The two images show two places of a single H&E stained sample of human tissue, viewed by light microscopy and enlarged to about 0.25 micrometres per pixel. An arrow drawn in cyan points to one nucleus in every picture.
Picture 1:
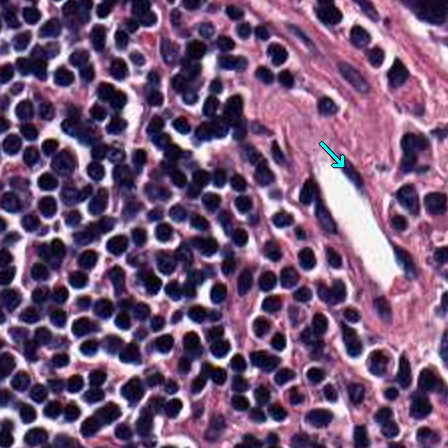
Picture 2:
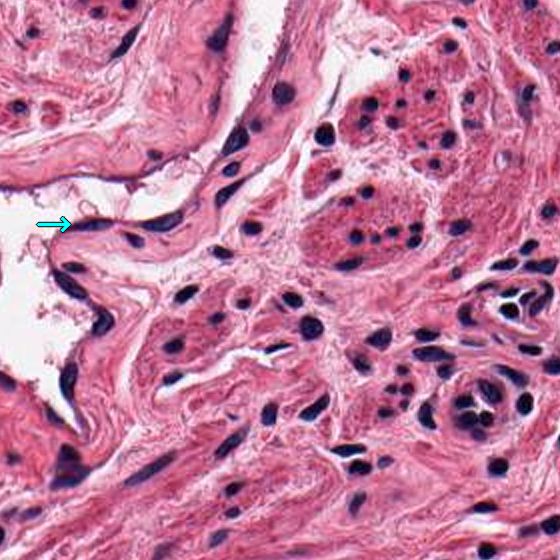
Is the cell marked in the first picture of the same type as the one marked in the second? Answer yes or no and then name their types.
Yes, both are endothelial cells.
